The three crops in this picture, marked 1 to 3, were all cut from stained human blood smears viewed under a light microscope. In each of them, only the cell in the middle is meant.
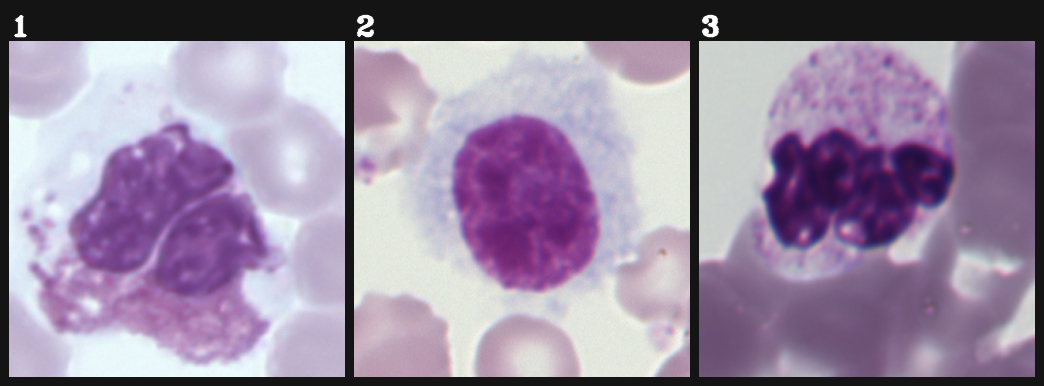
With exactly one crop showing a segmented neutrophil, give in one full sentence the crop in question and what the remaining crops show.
There is a segmented neutrophil in crop 3, while crop 1 is an eosinophil and crop 2 is a hairy cell.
